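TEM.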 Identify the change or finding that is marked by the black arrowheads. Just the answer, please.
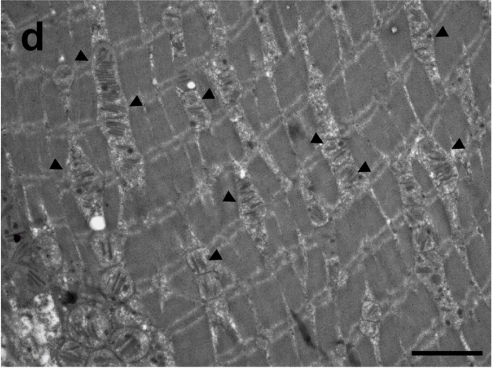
Altered, swollen mitochondria.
